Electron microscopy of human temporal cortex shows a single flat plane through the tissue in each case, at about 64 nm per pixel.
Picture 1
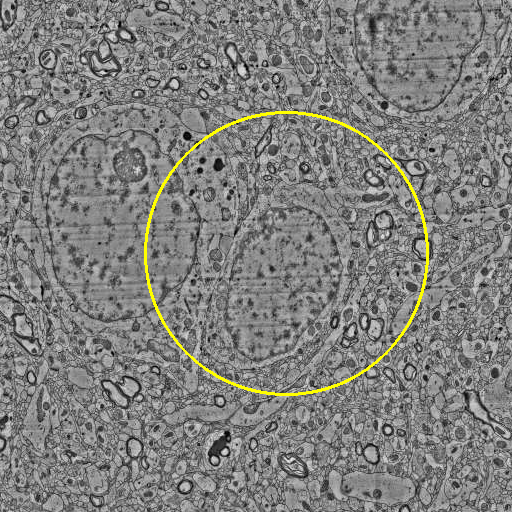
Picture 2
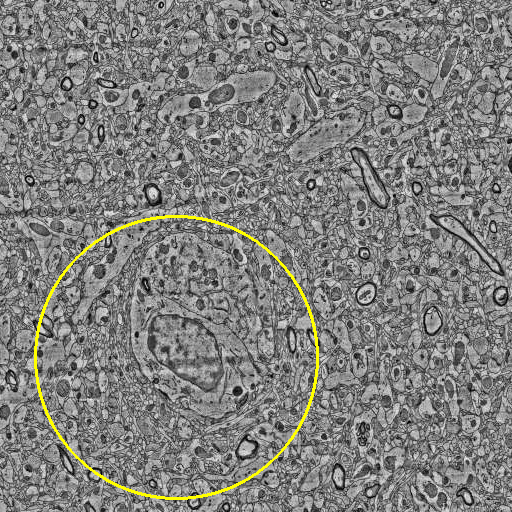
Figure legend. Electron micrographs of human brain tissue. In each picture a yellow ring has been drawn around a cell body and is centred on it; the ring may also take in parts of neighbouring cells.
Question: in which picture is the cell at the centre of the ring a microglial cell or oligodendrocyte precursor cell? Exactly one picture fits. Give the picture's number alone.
2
